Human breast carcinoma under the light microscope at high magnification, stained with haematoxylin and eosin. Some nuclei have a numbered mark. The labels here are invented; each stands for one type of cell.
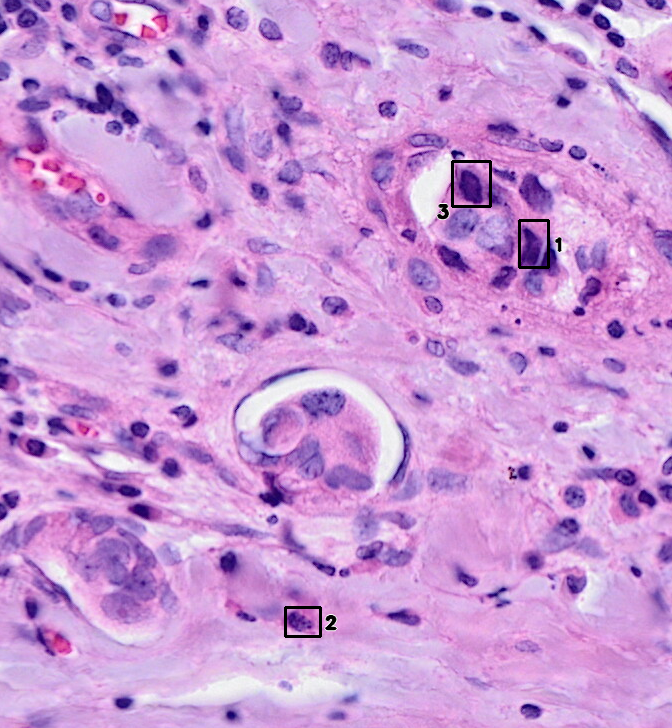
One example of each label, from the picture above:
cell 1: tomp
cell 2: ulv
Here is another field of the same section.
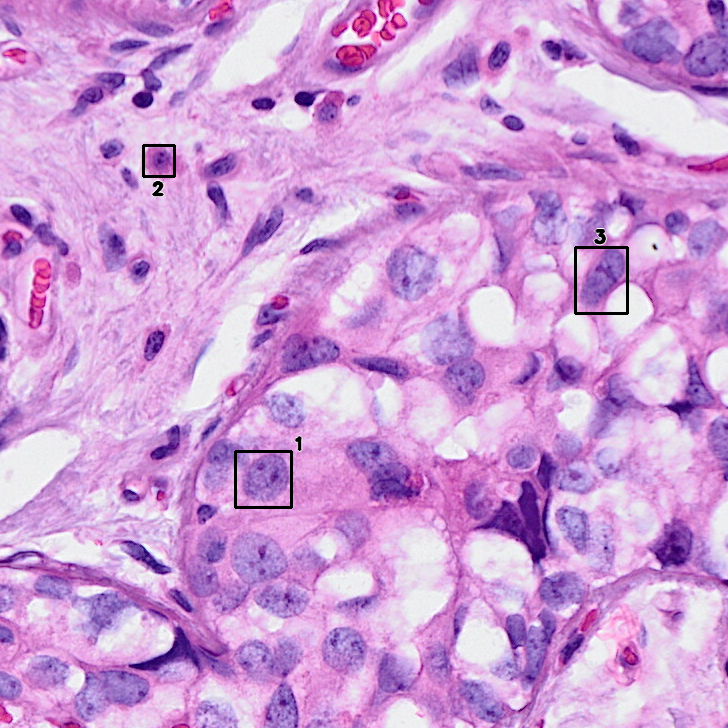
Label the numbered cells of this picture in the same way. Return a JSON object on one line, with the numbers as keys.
{"1": "tomp", "2": "ulv", "3": "tomp"}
